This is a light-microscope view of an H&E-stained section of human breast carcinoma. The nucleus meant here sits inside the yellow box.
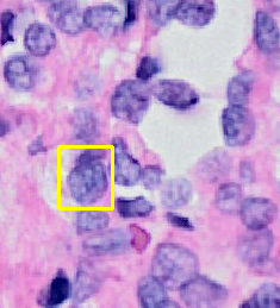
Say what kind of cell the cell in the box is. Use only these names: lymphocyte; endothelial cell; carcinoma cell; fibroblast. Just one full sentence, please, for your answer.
Typologically, the cell in the box is a carcinoma cell in this section.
